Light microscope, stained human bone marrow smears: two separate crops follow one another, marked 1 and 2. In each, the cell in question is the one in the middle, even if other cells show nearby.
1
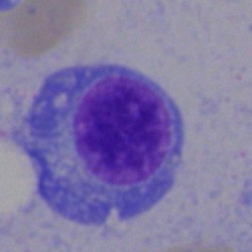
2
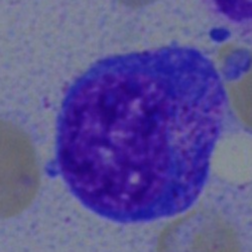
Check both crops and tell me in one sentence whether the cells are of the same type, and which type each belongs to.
No, crop 1 should be called a plasma cell, and crop 2 should be called a promyelocyte.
